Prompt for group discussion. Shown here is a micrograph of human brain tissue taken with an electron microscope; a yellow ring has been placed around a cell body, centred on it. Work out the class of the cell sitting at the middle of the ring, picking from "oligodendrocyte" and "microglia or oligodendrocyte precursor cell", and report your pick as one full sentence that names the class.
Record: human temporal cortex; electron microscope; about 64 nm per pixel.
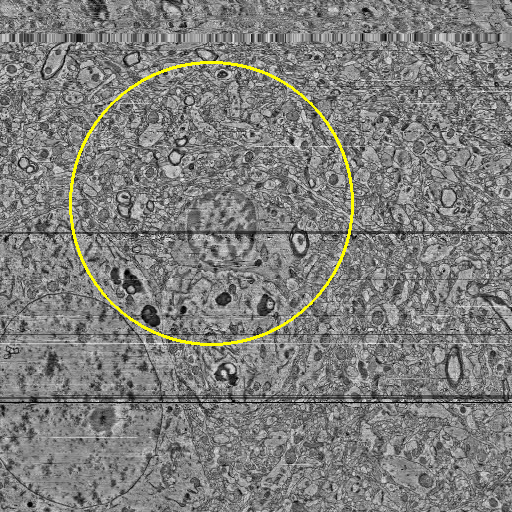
The cell sitting at the middle of the yellow ring is an oligodendrocyte.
